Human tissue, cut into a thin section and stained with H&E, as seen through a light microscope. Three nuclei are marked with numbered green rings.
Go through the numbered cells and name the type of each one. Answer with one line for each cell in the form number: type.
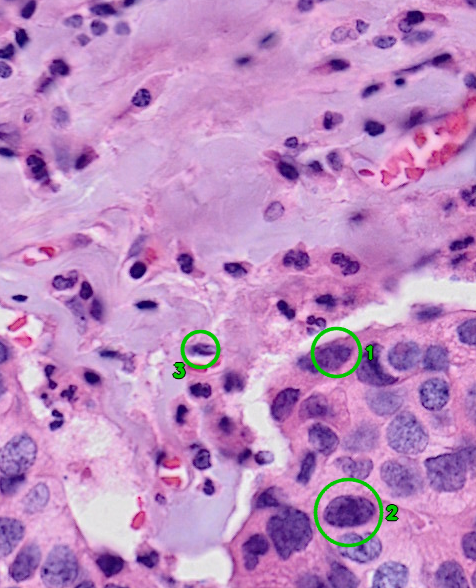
1: carcinoma cell
2: carcinoma cell
3: endothelial cell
